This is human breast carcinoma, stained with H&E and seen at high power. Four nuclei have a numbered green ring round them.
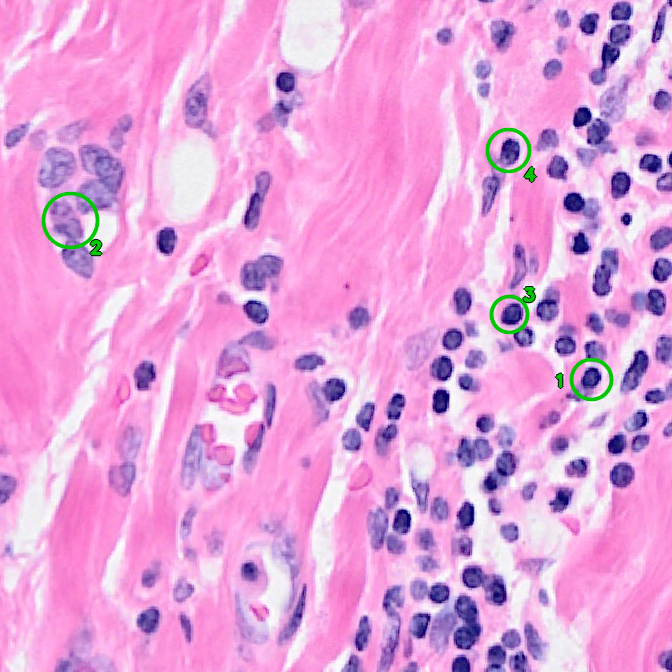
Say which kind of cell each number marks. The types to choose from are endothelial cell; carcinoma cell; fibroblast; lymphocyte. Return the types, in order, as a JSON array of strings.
["lymphocyte", "carcinoma cell", "lymphocyte", "lymphocyte"]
